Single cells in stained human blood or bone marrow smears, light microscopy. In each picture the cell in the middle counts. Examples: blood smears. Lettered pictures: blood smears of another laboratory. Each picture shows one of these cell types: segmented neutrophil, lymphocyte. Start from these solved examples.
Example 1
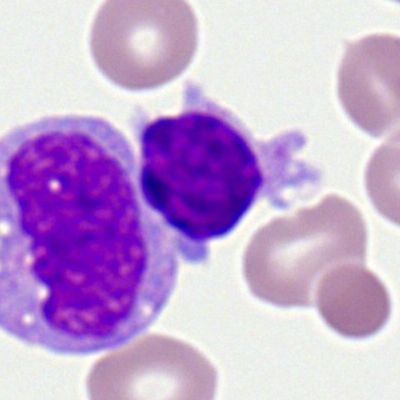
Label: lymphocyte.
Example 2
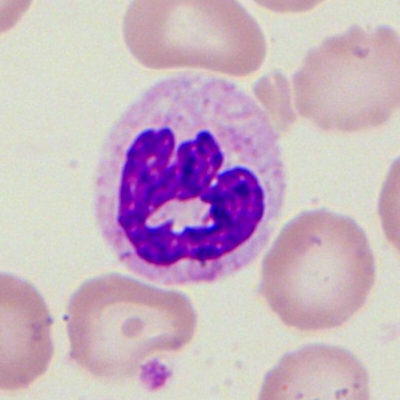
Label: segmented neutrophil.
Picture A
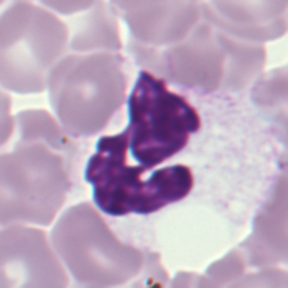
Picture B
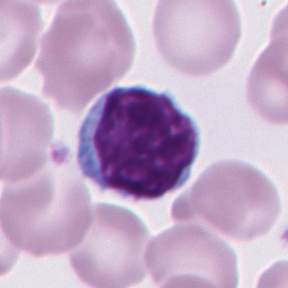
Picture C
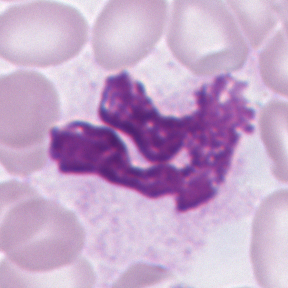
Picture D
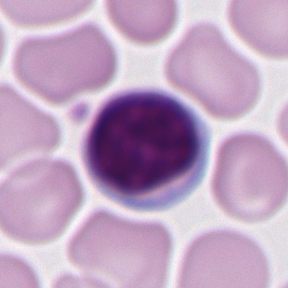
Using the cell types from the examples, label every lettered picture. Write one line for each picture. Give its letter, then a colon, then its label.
A: segmented neutrophil.
B: lymphocyte.
C: segmented neutrophil.
D: lymphocyte.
